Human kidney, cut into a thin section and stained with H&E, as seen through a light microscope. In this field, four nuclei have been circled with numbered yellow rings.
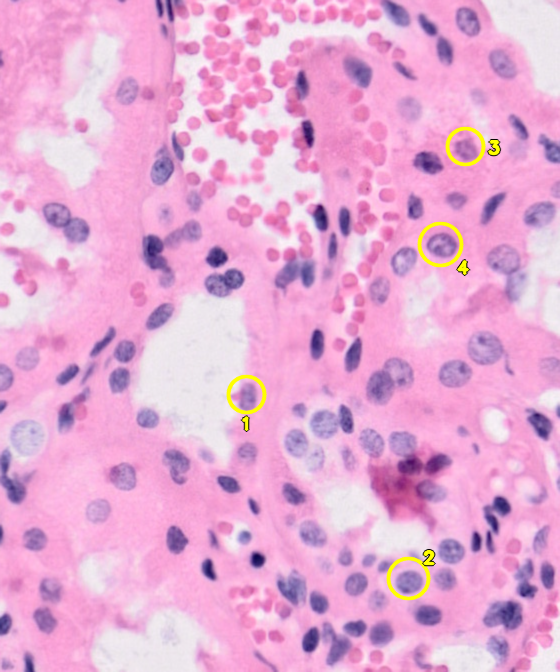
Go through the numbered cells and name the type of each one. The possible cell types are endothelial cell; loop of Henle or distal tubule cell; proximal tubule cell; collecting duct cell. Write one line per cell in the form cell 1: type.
cell 1: loop of Henle or distal tubule cell
cell 2: collecting duct cell
cell 3: proximal tubule cell
cell 4: proximal tubule cell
